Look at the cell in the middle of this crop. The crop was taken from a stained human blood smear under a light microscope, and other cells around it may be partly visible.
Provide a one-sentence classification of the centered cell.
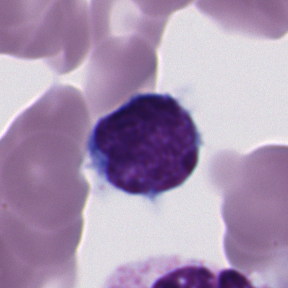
This crop has a typical lymphocyte at its centre.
